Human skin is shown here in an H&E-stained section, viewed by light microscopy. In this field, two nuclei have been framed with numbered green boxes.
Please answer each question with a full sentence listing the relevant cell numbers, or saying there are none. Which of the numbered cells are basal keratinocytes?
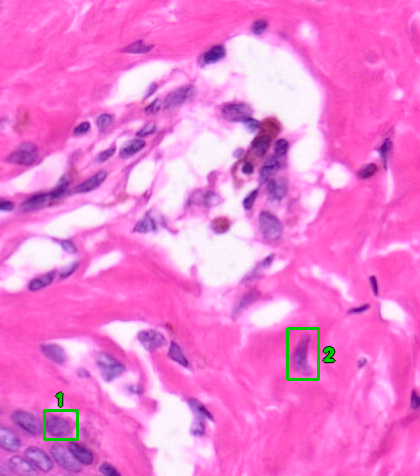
Among the numbered nuclei, only the one labelled 1 belongs to a basal keratinocyte.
